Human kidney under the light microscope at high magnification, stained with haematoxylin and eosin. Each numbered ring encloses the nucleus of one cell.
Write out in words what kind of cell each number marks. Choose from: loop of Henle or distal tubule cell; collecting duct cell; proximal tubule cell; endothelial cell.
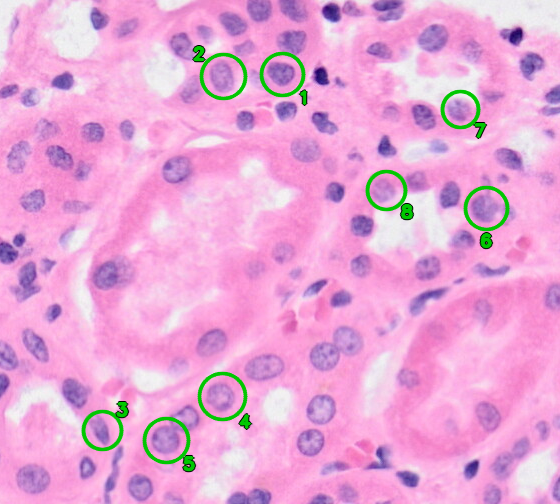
Cells 1, 2 and 3 are collecting duct cells. Cells 4 and 5 are proximal tubule cells. Cells 6, 7 and 8 are loop of Henle or distal tubule cells.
